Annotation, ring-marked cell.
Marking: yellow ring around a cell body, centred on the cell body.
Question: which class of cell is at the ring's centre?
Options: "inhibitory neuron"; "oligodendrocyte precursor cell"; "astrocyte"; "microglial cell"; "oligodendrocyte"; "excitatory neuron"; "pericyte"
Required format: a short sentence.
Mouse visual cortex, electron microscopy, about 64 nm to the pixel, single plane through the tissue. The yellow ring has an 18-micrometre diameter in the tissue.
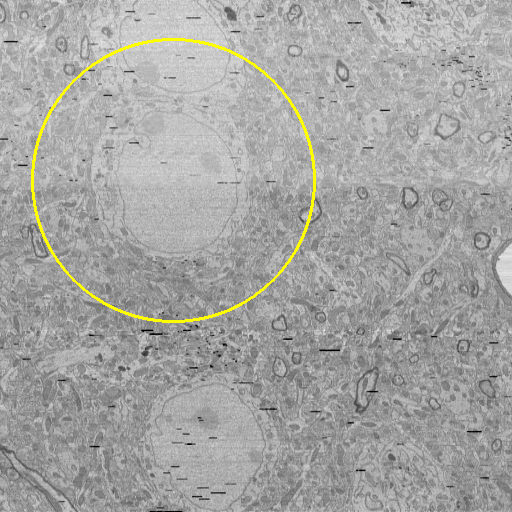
At the ring's centre is an excitatory neuron.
